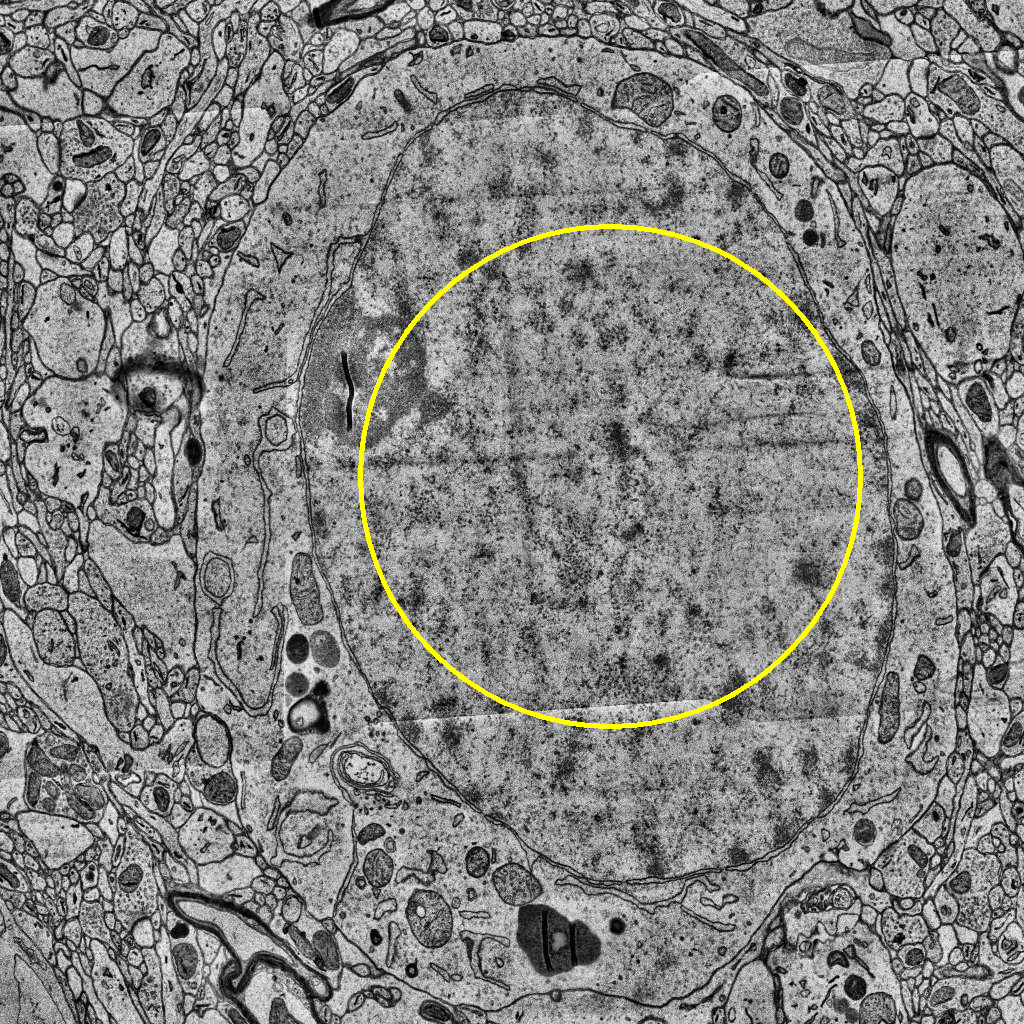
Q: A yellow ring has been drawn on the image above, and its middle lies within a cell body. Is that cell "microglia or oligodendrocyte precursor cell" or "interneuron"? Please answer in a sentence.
The ring's middle lies in the cell body of an interneuron.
